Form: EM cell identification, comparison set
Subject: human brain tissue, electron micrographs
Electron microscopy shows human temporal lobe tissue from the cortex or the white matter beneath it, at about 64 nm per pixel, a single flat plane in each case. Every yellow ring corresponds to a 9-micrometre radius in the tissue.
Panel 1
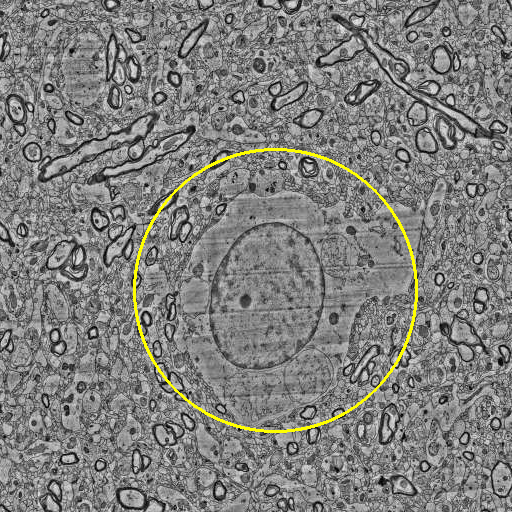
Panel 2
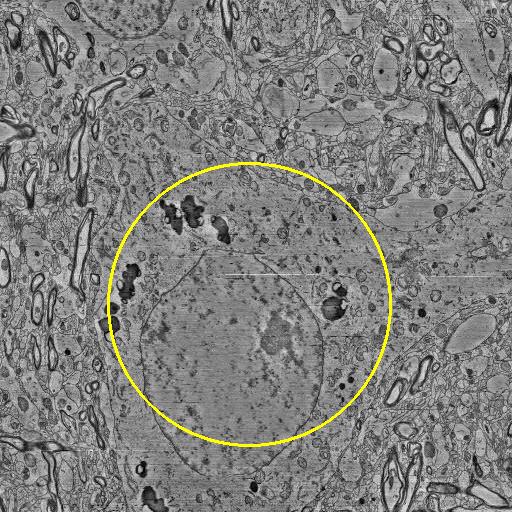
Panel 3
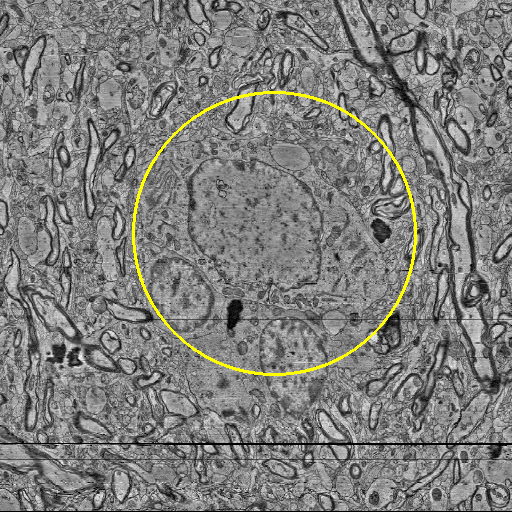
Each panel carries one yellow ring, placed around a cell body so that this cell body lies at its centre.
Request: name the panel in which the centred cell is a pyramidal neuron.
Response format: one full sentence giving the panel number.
Panel 2 has it at the centre of its ring.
